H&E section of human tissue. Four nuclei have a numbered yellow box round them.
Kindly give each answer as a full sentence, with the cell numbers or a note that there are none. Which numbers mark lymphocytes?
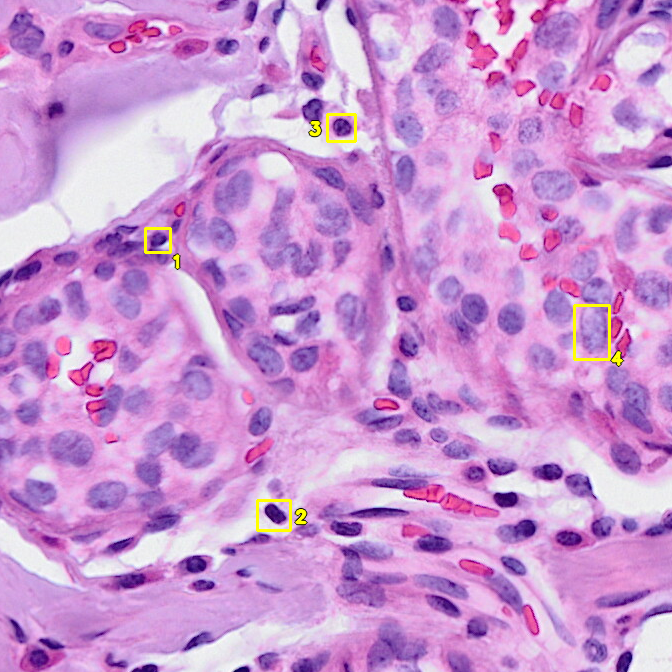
Among all the marked cells, a lymphocyte is found only at number 2.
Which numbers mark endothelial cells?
As for the numbered cells, only cell 1 is an endothelial cell.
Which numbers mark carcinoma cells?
With the exception of cell 4, no marked cell is a carcinoma cell.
